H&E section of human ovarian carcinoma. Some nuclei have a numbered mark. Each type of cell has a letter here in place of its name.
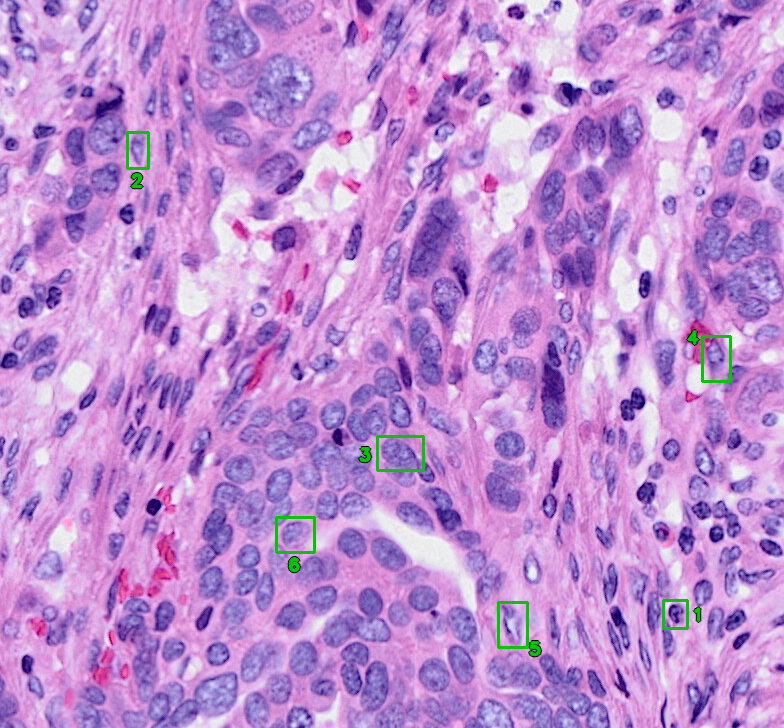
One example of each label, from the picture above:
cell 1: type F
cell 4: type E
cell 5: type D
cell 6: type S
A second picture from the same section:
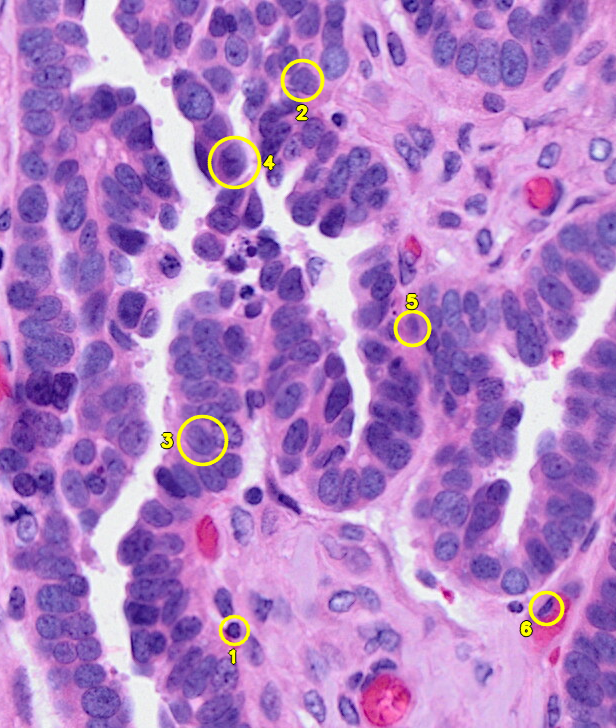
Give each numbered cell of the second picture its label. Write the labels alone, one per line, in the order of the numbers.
type F
type S
type S
type S
type S
type E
